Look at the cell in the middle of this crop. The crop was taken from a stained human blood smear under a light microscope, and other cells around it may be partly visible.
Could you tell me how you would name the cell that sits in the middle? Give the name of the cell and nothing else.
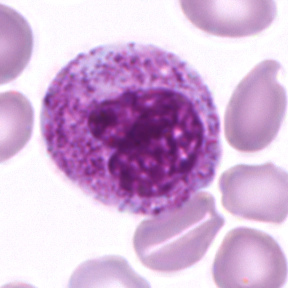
band neutrophil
